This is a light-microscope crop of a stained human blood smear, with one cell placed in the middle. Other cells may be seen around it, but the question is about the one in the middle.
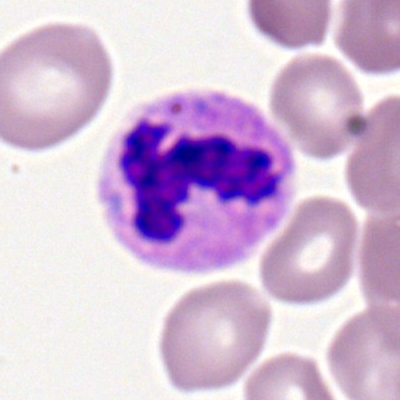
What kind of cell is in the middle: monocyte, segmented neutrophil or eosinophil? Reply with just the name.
segmented neutrophil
